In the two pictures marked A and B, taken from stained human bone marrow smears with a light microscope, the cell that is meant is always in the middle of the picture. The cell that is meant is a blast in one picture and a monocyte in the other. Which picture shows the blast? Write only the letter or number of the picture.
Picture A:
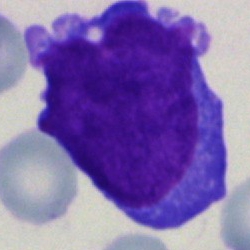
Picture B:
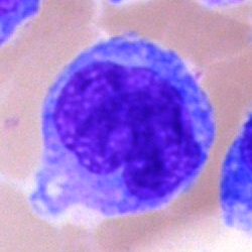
A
